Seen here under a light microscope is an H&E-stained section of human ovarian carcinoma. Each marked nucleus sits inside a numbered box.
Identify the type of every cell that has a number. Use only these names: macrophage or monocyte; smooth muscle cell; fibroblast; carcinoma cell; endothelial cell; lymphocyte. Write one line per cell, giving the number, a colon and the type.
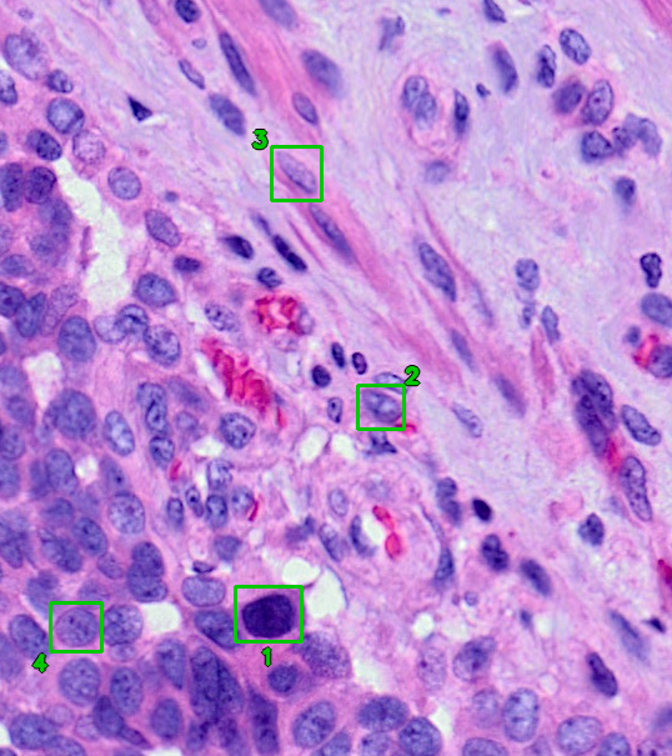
1: carcinoma cell
2: endothelial cell
3: smooth muscle cell
4: carcinoma cell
